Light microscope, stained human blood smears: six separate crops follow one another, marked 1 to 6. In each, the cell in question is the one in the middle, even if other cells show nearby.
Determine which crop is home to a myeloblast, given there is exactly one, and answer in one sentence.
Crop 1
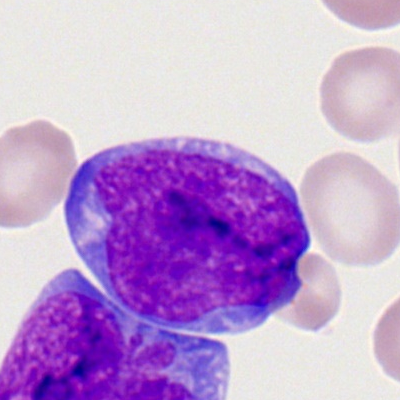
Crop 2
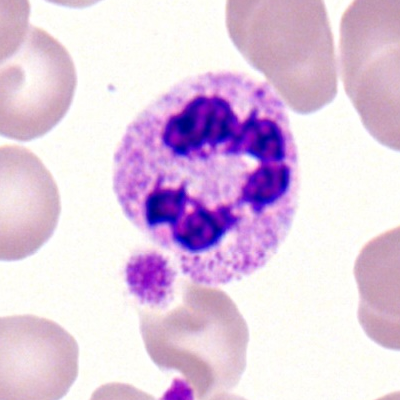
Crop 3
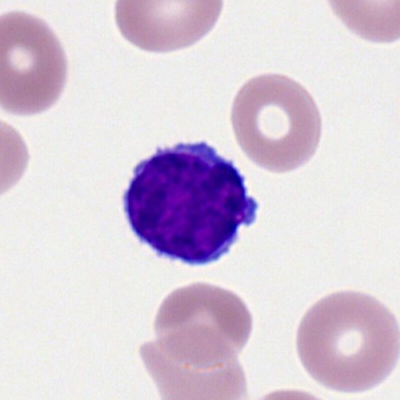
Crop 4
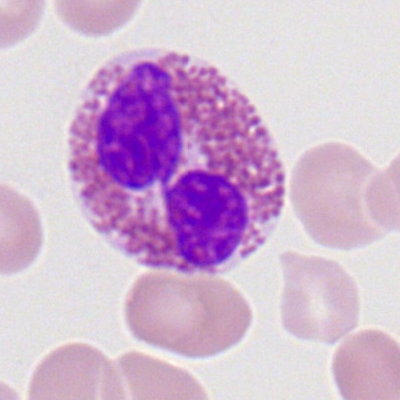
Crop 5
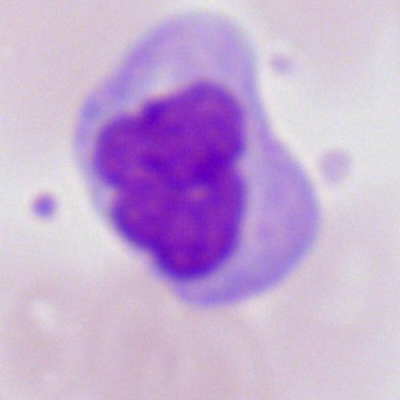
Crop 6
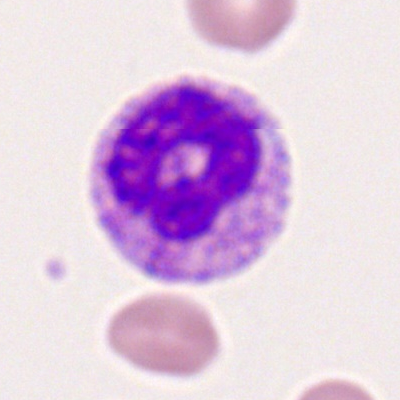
The crop with a myeloblast in it is crop 1.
